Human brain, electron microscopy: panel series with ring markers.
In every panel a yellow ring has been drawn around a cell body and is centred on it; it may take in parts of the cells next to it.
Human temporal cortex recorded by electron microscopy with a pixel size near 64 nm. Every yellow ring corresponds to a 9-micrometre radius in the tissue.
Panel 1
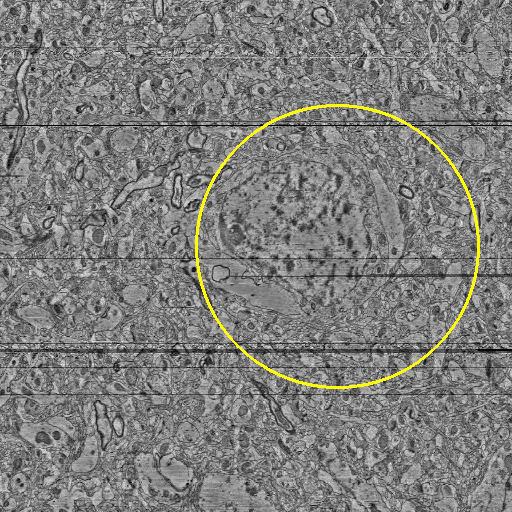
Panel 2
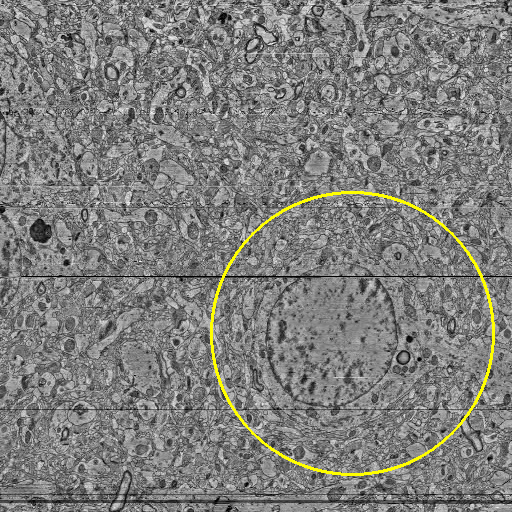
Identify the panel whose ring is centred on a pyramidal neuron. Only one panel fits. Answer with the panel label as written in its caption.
Panel 2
